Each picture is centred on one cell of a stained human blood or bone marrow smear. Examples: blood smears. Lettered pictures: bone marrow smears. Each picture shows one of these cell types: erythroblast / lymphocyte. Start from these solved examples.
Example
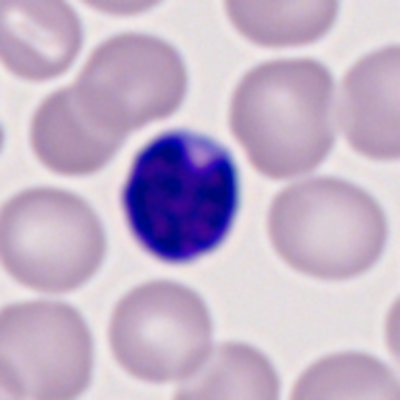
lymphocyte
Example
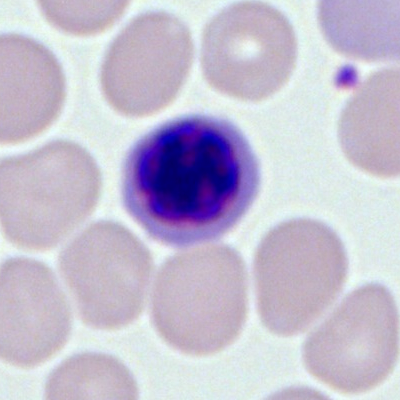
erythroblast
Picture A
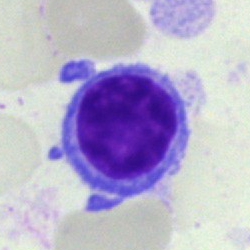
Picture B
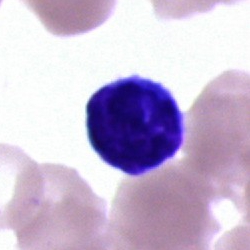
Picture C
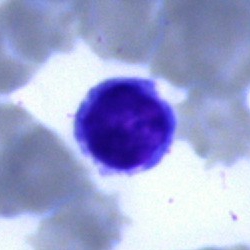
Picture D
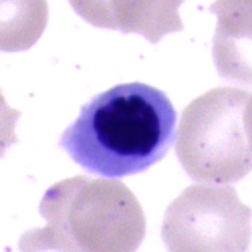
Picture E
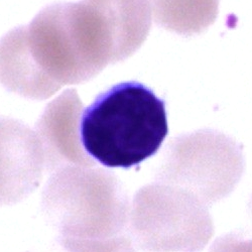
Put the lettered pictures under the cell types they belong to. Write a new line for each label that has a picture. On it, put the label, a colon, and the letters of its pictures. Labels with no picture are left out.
erythroblast: D
lymphocyte: A, B, C, E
